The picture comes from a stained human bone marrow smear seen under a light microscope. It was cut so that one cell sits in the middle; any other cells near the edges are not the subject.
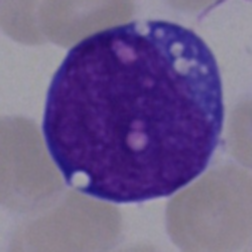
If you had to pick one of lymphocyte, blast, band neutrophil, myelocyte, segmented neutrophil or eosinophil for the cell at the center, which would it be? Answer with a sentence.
Classified as a blast is the cell in the middle of this crop.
